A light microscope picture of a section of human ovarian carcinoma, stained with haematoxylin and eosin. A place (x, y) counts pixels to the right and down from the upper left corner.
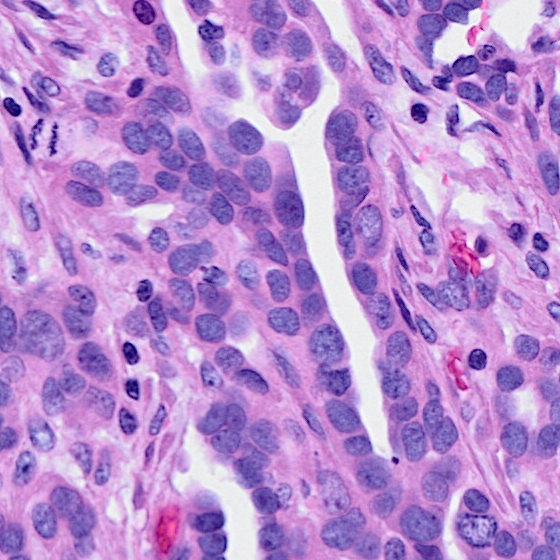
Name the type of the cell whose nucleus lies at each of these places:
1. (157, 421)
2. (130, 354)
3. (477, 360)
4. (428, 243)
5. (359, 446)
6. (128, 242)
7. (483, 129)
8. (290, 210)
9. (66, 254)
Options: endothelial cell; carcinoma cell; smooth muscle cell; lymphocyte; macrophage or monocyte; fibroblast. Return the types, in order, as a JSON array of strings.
["fibroblast", "lymphocyte", "lymphocyte", "fibroblast", "carcinoma cell", "fibroblast", "fibroblast", "carcinoma cell", "fibroblast"]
